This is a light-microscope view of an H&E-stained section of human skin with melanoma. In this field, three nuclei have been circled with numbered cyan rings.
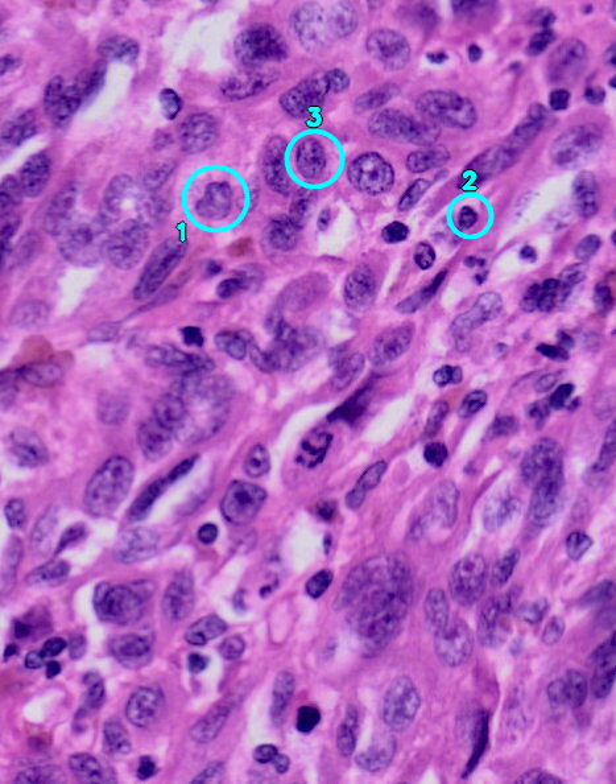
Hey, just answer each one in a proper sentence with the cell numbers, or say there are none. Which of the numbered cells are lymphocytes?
Cell 2 is a lymphocyte, while every other numbered cell is not.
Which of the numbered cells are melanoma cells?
Of the cells bearing numbers, the only one that is a melanoma cell is cell 3.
